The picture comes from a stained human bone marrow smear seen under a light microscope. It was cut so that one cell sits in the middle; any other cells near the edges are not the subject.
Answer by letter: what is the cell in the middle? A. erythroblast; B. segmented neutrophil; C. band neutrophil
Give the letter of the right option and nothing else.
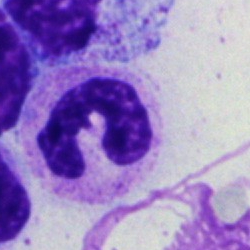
C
